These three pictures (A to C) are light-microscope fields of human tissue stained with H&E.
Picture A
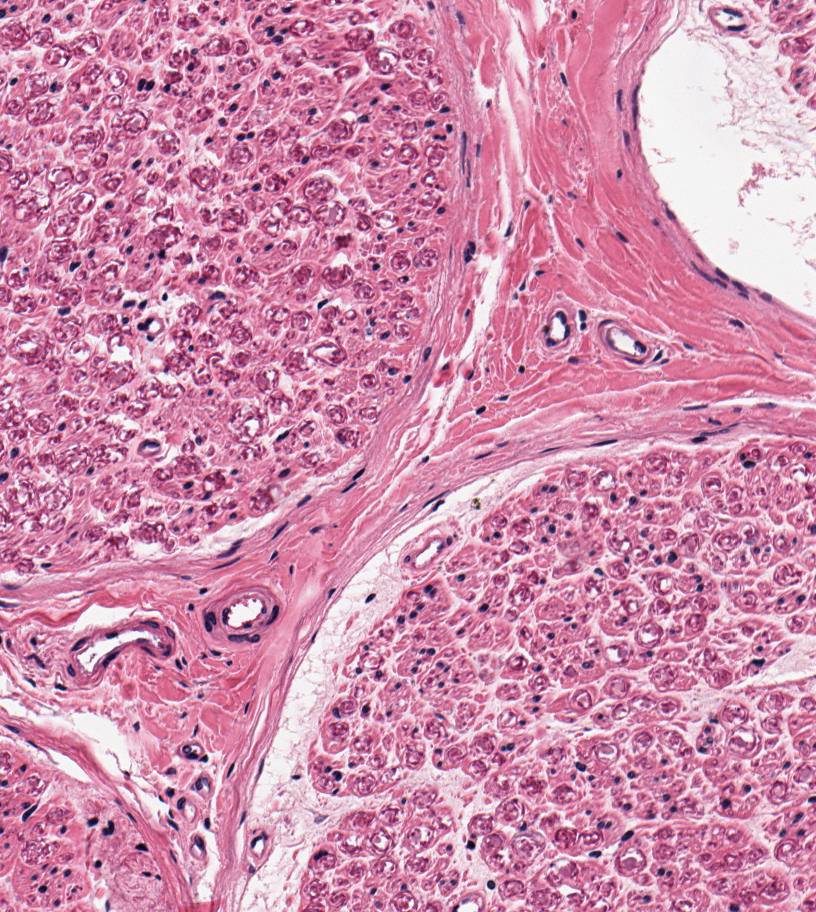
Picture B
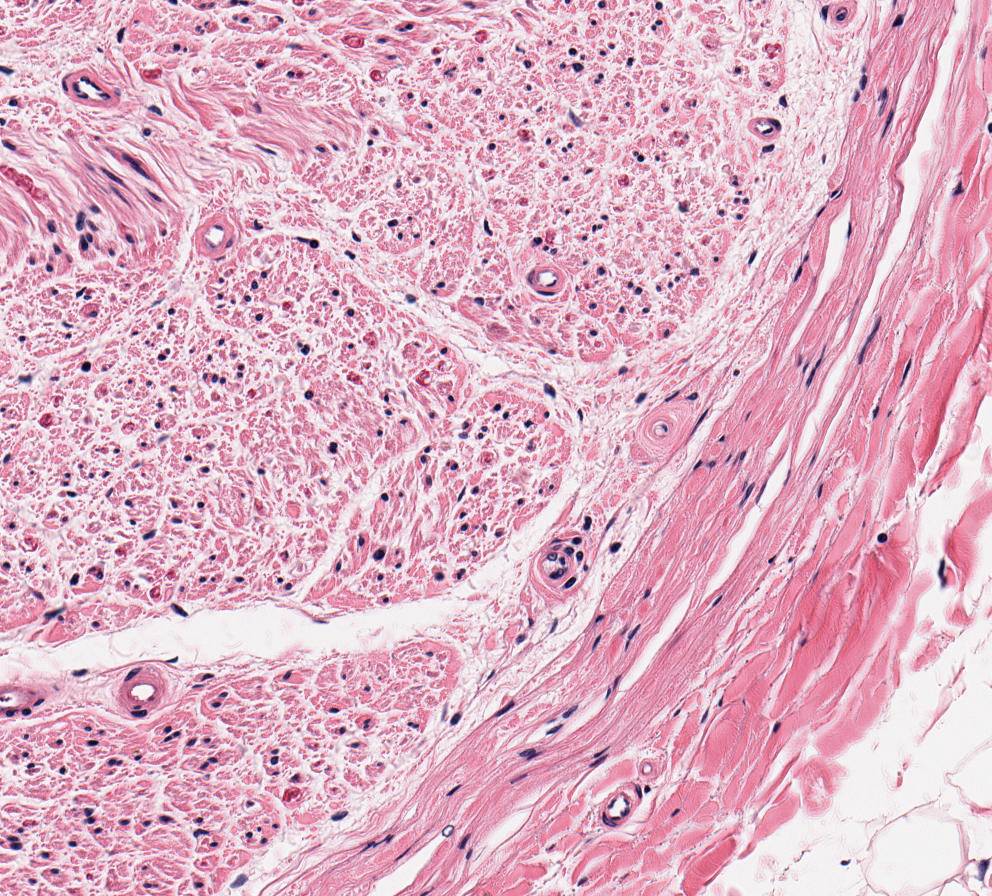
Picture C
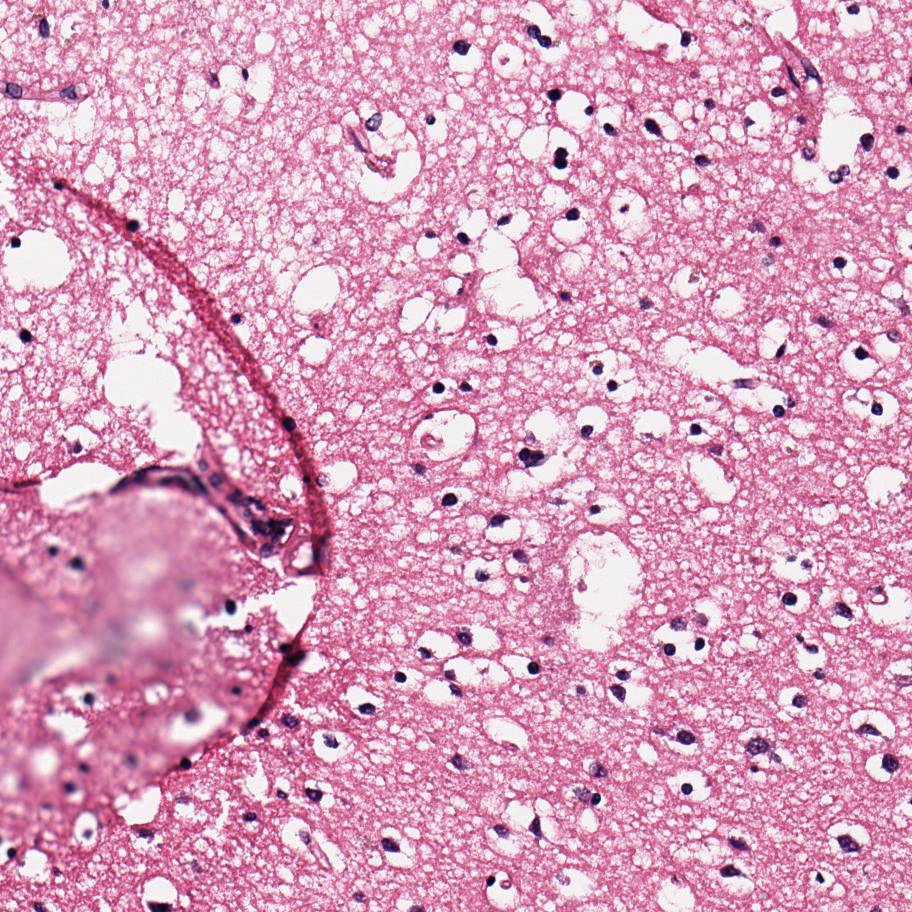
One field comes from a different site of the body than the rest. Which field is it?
C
